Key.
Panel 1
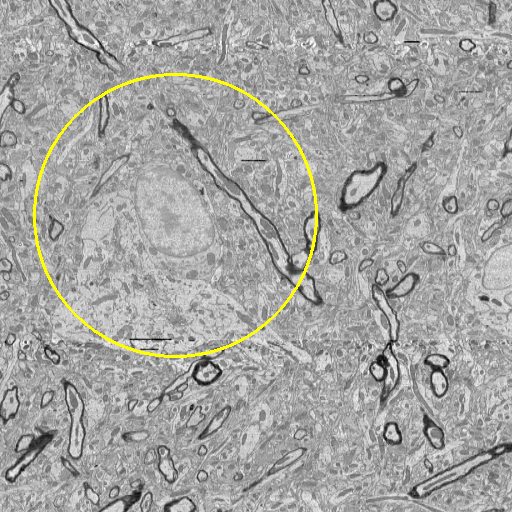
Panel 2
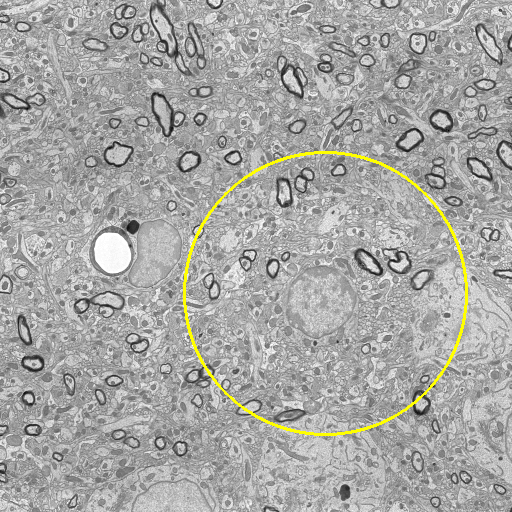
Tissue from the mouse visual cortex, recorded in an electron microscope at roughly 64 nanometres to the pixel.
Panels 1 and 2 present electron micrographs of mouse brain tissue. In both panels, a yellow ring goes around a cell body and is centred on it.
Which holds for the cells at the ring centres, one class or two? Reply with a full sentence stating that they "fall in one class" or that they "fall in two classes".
Taken together, the ring-centre cells of the two panels fall in one class.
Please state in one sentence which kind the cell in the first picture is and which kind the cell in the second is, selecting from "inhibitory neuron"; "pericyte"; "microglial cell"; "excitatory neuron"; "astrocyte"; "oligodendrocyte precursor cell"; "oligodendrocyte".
Each of the two cells is an oligodendrocyte.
